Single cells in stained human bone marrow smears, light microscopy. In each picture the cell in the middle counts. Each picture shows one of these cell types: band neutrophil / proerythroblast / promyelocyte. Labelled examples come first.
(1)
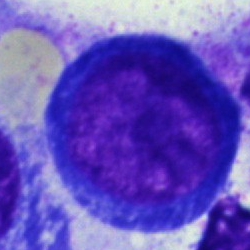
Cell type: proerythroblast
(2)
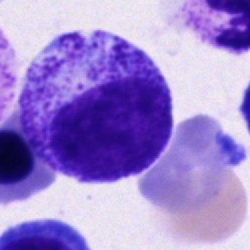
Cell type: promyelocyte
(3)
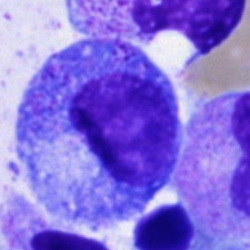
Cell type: promyelocyte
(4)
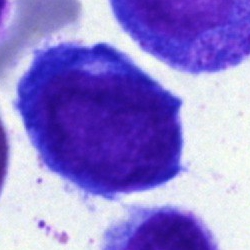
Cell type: proerythroblast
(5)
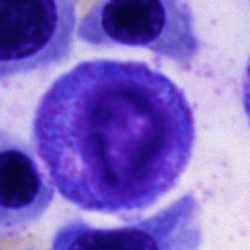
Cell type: promyelocyte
